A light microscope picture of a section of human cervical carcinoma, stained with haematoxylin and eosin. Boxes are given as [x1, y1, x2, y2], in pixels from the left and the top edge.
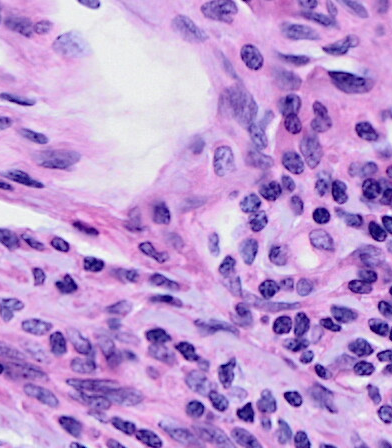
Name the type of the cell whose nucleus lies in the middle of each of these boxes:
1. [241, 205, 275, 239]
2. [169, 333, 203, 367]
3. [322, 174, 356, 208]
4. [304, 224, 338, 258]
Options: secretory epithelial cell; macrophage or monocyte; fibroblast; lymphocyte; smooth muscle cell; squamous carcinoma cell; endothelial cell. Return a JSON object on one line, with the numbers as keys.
{"1": "lymphocyte", "2": "lymphocyte", "3": "lymphocyte", "4": "endothelial cell"}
